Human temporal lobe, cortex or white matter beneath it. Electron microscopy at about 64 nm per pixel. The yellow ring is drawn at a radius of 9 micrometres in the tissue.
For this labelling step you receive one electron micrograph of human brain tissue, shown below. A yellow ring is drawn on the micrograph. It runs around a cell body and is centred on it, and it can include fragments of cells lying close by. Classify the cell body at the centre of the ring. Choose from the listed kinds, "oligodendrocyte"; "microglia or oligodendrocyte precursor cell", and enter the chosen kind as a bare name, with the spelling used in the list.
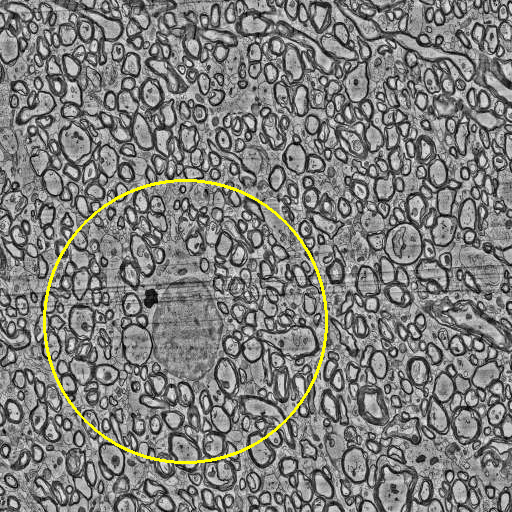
oligodendrocyte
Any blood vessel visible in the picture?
No, there is no blood vessel in the image.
